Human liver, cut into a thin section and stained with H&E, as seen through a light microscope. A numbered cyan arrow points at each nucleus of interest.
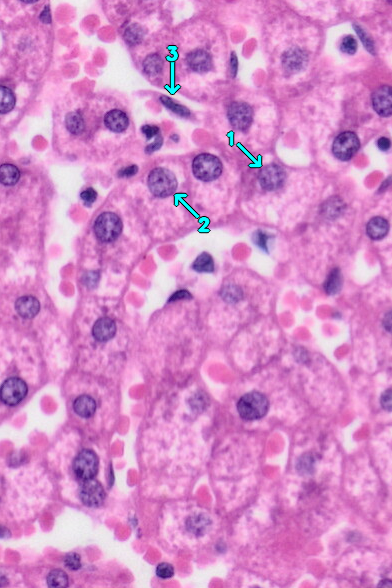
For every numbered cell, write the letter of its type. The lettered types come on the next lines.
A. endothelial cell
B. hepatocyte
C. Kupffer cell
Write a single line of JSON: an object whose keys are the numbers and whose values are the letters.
{"1": "B", "2": "B", "3": "C"}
